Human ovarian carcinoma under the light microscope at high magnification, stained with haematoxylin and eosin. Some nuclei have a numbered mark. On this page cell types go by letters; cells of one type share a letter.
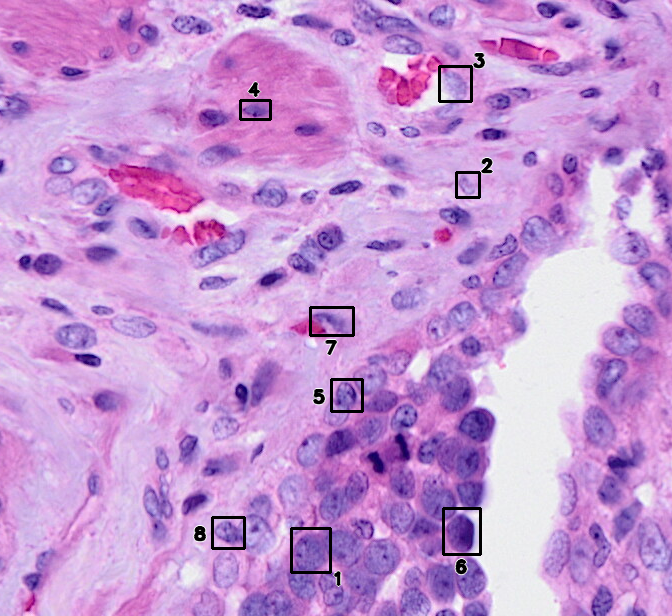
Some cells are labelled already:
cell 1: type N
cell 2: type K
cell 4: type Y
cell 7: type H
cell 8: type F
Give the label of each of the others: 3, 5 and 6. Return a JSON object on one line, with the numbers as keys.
{"3": "type H", "5": "type F", "6": "type N"}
